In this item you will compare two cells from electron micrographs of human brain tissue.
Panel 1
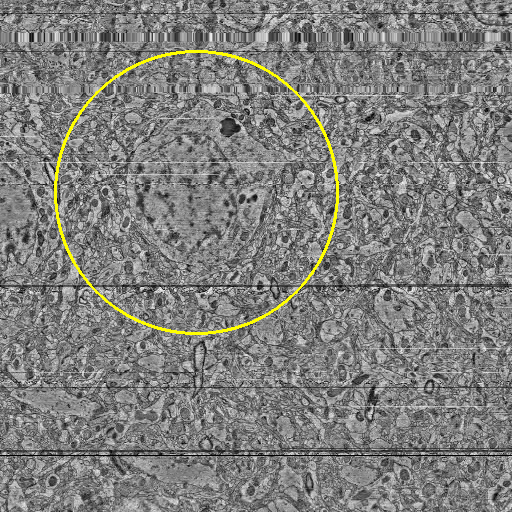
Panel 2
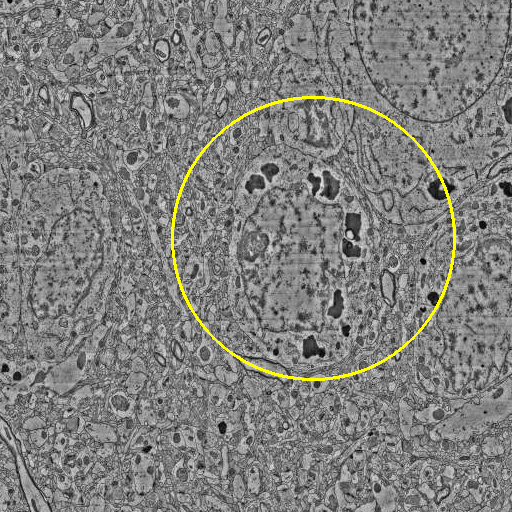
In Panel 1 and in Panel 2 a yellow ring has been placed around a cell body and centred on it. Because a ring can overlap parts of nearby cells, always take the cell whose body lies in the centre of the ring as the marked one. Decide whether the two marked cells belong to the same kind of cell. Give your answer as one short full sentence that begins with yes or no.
Yes, the two marked cells belong to the same kind of cell.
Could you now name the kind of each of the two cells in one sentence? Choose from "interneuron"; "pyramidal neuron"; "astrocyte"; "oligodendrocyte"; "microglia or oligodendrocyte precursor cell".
The second cell is an interneuron, just as the first is.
